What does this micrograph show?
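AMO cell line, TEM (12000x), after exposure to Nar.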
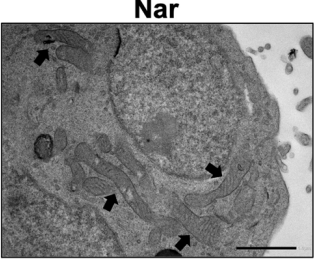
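Transmission electron micrograph of a cultured cell showing a large nucleus with finely granular chromatin bounded by the nuclear envelope. The surrounding cytoplasm contains numerous mitochondria, many of them long and narrow. Several of these elongated mitochondria show inner transverse membrane folds (cristae). The mitochondria lie scattered in the cytoplasm, some close to the nuclear envelope.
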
